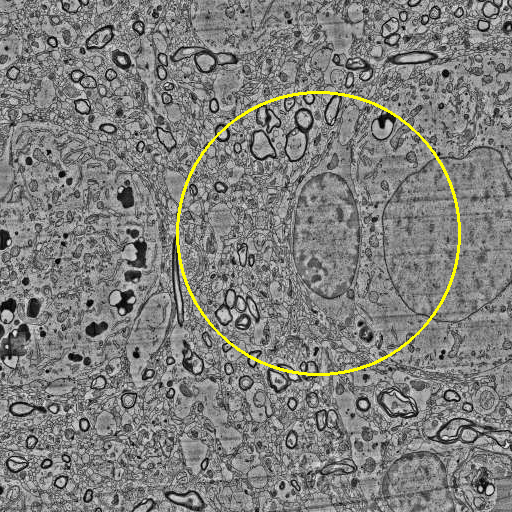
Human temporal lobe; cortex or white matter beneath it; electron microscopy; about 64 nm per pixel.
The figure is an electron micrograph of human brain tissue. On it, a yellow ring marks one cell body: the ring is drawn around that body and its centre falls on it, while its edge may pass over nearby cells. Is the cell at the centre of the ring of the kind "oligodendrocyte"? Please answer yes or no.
yes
